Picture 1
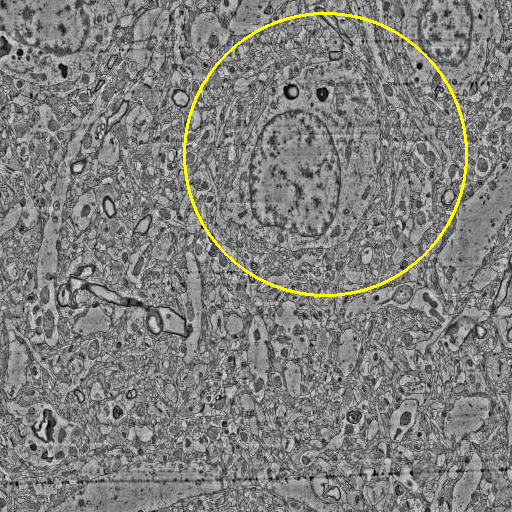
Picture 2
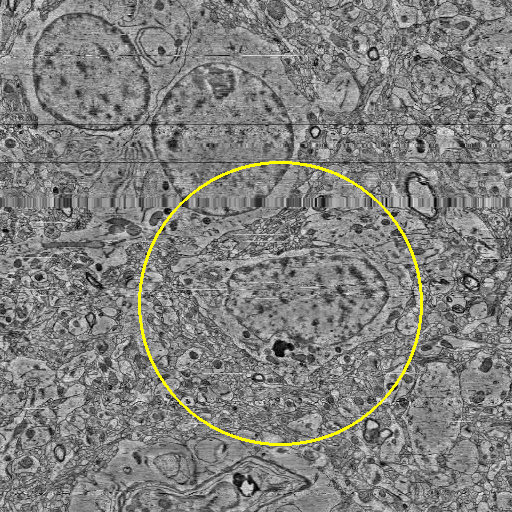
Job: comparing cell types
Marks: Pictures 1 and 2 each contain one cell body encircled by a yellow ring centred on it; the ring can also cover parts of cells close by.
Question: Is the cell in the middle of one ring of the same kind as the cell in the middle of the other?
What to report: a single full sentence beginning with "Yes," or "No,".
No, the cell at the ring centre in Picture 1 and its partner in Picture 2 are of two kinds.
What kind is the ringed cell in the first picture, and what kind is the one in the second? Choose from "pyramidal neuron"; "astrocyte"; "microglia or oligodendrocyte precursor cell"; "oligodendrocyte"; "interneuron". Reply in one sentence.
The first cell is a pyramidal neuron; the second is an interneuron.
